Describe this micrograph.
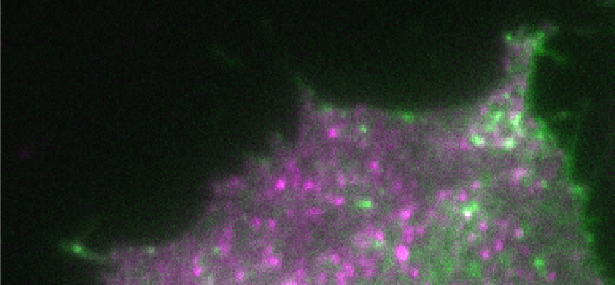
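The cell's outline stands against a dark background, with thin projections along its upper and right edges. The cell's footprint is filled with many small, round magenta dots. Fewer, brighter green dots gather mostly toward the upper right of the cell, and some of them overlap magenta dots and appear whitish.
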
